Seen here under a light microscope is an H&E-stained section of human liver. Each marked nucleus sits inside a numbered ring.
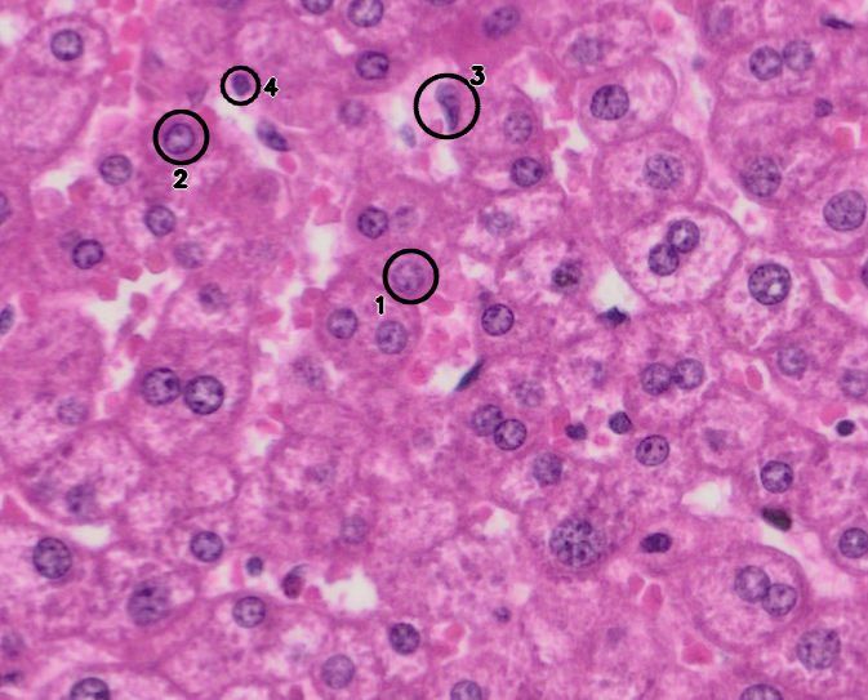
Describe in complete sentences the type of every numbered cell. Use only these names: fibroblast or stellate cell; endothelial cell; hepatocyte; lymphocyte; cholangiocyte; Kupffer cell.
Cells 1 and 2 are hepatocytes. Cell 3 is an endothelial cell. Cell 4 is a lymphocyte.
